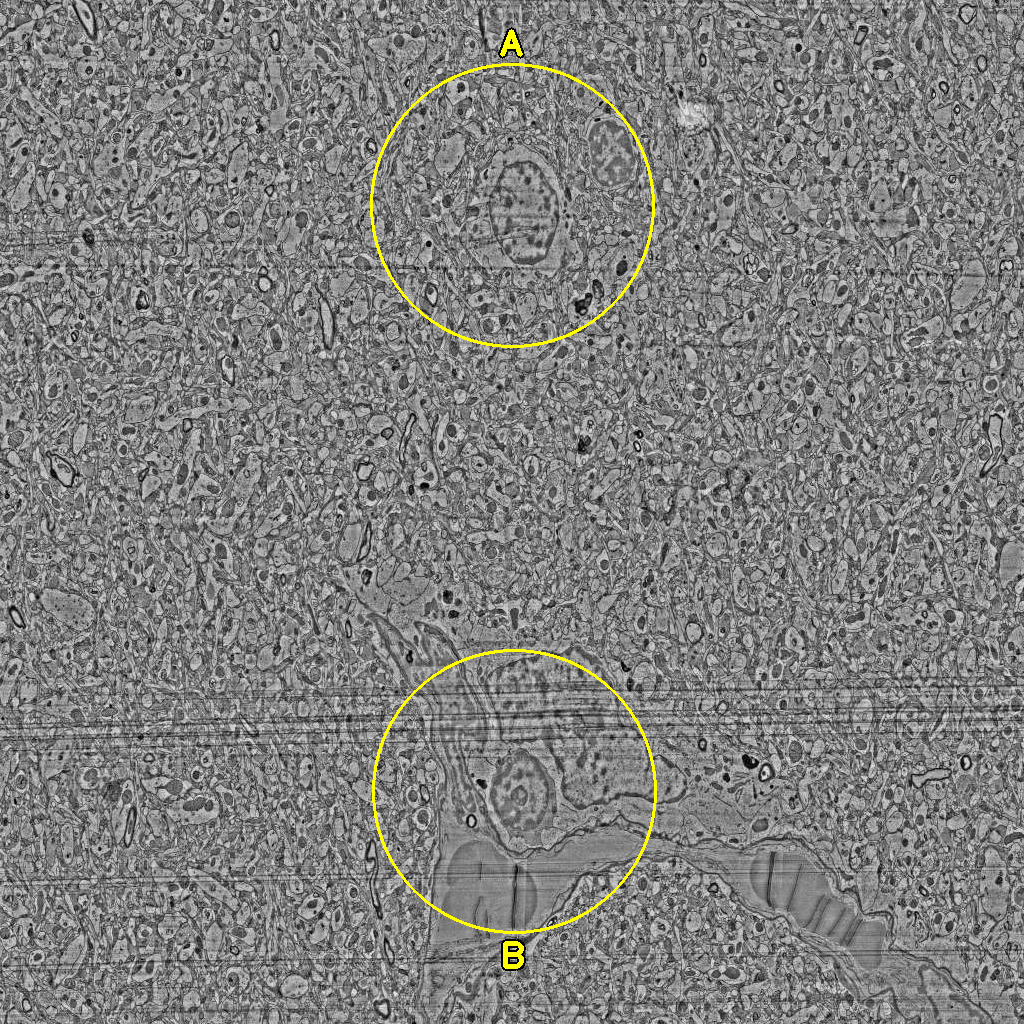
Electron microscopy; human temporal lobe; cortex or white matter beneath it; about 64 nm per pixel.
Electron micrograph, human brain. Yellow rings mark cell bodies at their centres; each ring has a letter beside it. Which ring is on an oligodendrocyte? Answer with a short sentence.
Ring B is centred on it.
